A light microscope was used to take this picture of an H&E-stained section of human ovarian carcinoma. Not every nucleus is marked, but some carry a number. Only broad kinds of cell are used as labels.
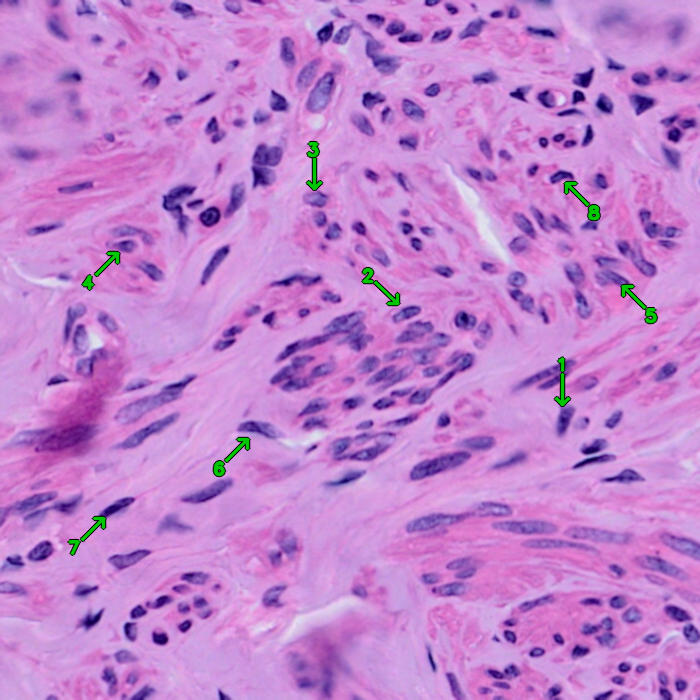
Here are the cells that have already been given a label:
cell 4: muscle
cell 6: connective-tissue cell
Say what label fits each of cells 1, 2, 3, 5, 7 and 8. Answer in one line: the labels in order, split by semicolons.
connective-tissue cell; muscle; muscle; muscle; connective-tissue cell; muscle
